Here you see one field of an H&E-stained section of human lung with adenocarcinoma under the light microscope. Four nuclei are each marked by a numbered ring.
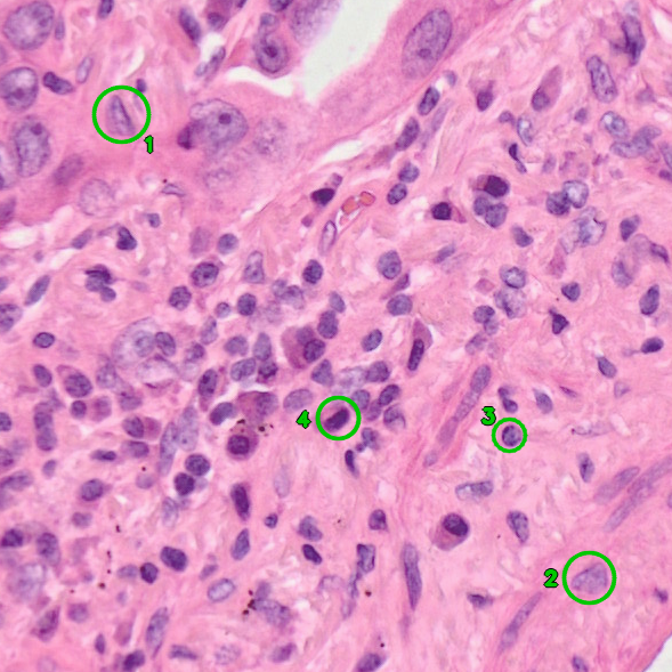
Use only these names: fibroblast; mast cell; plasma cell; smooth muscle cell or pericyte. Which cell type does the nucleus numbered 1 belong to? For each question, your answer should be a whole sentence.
The cell indicated by marker 1 is a fibroblast in this section.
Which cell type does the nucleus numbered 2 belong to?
The nucleus labelled 2 belongs to a smooth muscle cell or pericyte.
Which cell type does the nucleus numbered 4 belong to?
The marked cell bearing number 4 is a plasma cell.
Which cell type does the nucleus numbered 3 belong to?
Numbered cell 3 is a mast cell in this tissue section.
